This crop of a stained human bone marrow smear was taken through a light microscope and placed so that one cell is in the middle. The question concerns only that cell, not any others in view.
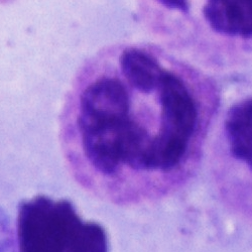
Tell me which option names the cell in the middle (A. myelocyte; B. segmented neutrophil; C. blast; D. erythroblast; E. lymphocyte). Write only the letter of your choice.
B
